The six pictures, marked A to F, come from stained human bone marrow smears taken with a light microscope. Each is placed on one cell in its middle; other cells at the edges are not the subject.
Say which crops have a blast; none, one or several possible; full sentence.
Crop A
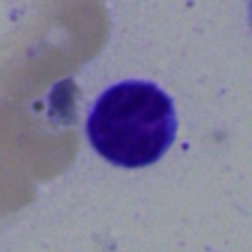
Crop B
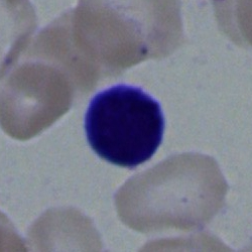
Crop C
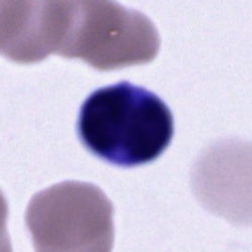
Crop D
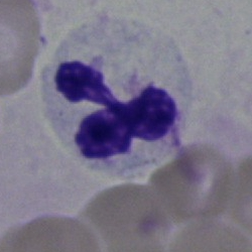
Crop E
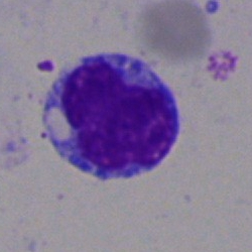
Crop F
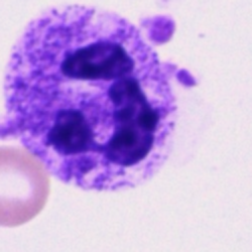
None of the crops in this set shows a blast.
